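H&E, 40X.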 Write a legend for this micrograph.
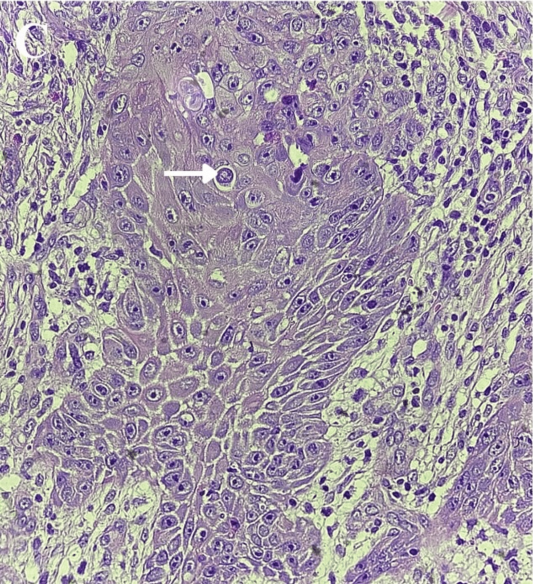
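A nest of large epithelial tumor cells lies in a loose stroma scattered with small dark inflammatory cells. The tumor cells have abundant pale pink cytoplasm and distinct borders, and their nuclei vary widely in size and shape, some large and dark, others vesicular with conspicuous nucleoli. This is a squamous epithelial neoplasm showing nuclear pleomorphism.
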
